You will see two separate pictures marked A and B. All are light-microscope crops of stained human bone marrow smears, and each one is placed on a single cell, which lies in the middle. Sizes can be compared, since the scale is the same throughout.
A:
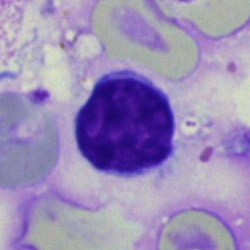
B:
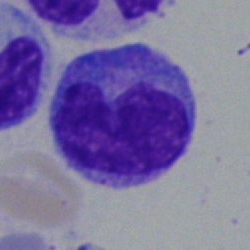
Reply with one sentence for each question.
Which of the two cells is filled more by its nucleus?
It is the cell in crop A that is filled more by its nucleus.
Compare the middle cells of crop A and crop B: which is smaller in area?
Smaller is the cell in crop A, and the other is about 2 times as large in area.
